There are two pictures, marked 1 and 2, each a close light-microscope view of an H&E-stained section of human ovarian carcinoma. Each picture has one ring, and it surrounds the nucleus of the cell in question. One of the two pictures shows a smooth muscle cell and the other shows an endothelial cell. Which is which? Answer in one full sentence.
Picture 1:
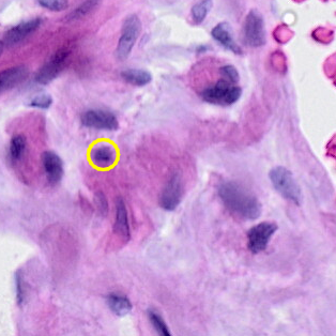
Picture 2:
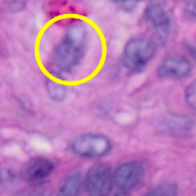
It is picture 1 that shows a smooth muscle cell, and picture 2 that shows an endothelial cell.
